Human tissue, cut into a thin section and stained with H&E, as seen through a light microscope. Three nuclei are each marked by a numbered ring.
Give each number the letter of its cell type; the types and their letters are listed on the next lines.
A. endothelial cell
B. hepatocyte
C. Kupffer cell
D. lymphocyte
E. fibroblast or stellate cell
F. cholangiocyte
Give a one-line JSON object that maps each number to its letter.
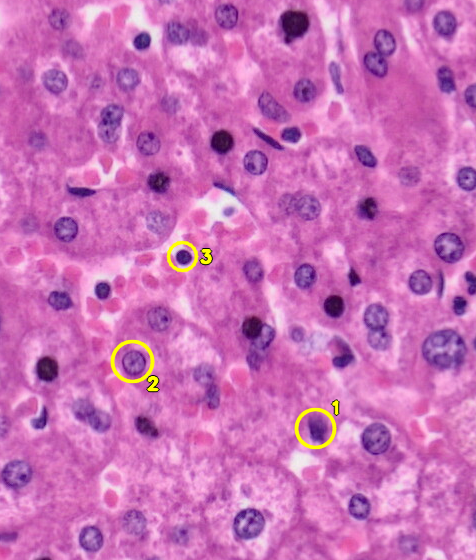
{"1": "E", "2": "B", "3": "D"}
